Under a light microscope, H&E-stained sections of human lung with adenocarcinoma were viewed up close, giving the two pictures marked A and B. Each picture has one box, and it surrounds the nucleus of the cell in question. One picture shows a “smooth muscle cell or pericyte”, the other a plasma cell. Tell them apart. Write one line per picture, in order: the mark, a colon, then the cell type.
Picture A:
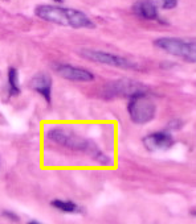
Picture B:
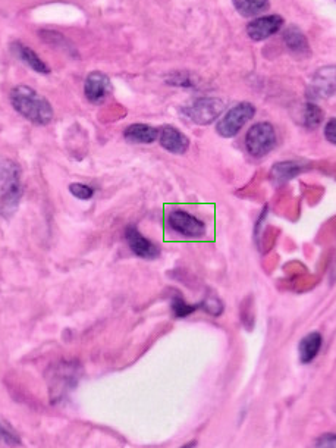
A: smooth muscle cell or pericyte
B: plasma cell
